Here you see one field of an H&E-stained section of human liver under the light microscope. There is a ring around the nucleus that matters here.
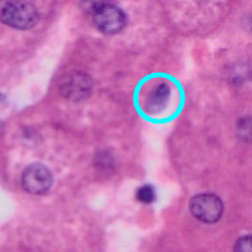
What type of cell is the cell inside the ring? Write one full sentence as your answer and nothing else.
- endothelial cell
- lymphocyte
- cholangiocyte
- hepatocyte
In the stained section, the cell inside the ring is an endothelial cell.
